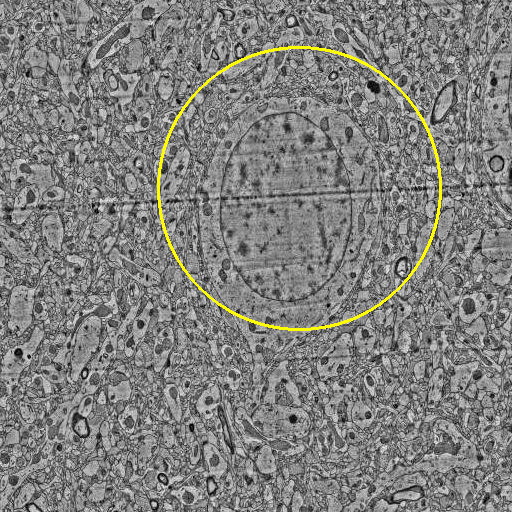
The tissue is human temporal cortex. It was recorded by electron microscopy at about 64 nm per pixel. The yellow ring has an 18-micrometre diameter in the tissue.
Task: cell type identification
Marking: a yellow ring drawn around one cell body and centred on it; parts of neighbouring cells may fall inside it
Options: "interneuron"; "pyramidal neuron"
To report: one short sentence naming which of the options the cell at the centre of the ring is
The cell at the centre of the ring is a pyramidal neuron.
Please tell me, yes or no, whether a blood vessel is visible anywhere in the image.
No, no blood vessel can be seen.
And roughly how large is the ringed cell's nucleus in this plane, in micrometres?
In this plane the nucleus is about 12 micrometres by 8.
